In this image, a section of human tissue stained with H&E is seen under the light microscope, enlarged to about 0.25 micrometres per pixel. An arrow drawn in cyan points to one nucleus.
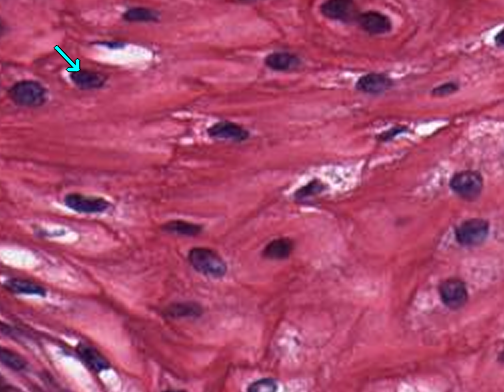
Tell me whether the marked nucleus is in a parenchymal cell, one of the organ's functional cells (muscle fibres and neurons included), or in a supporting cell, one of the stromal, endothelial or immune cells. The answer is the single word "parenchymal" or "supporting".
parenchymal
